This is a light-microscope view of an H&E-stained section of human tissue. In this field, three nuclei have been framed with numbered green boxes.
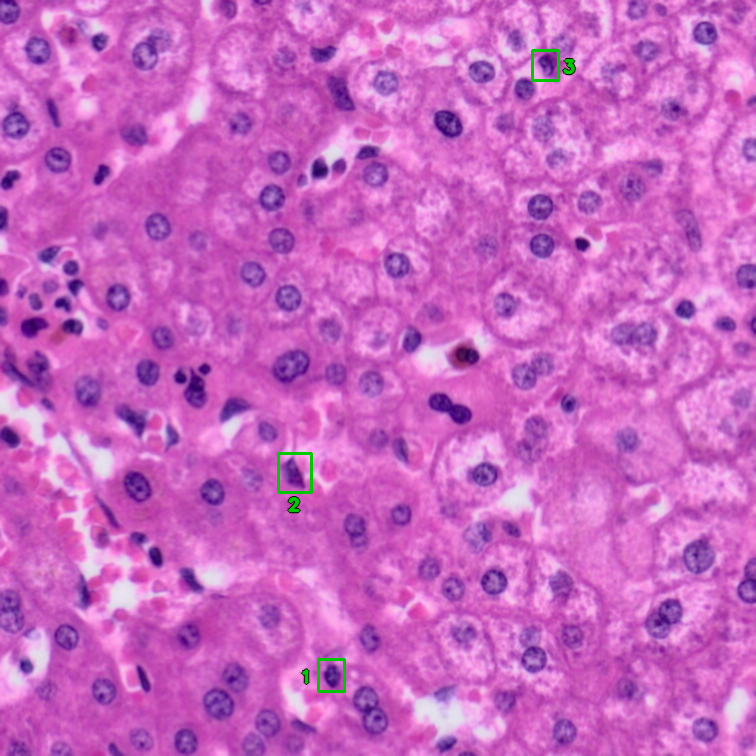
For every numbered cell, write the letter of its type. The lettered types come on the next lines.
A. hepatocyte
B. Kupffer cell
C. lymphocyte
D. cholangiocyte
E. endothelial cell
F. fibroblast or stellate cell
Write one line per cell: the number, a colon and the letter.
1: F
2: E
3: B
